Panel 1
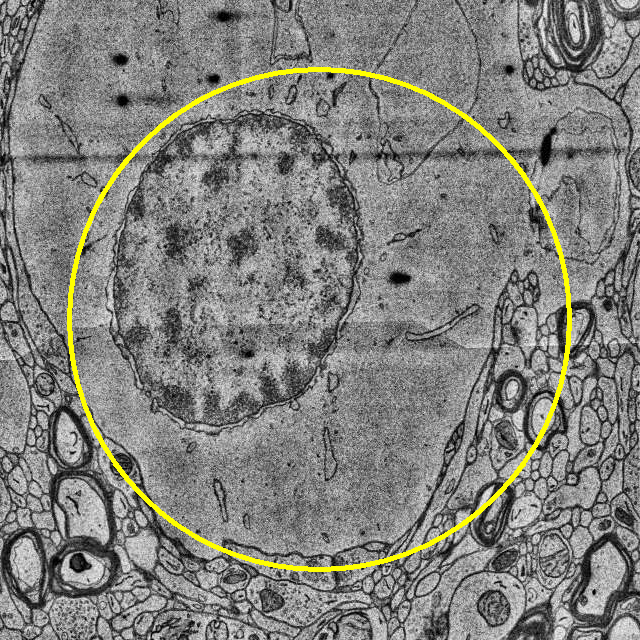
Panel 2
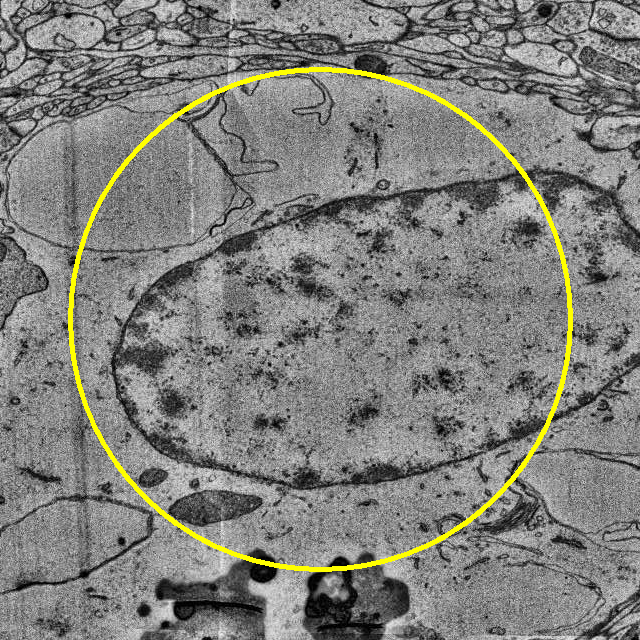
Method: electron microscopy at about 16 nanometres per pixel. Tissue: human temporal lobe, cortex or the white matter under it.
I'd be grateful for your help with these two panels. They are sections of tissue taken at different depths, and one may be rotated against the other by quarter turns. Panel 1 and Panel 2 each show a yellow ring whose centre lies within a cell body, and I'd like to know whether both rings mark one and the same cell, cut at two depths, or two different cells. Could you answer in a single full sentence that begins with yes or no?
No, the cell in one ring is not the cell in the other.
